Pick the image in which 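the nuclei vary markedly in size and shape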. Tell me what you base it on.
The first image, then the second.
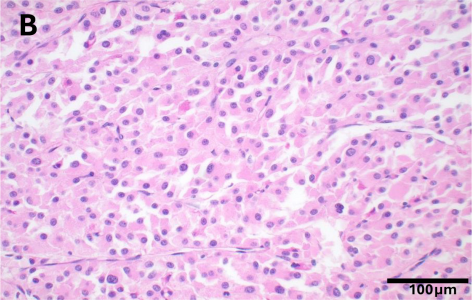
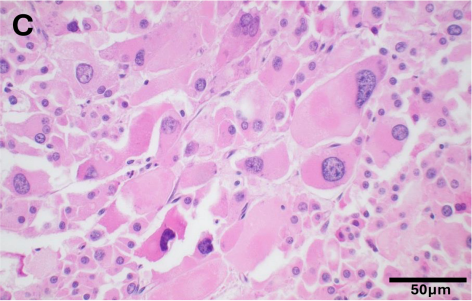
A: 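Second image: nuclei range from small to very large, some dark and irregular. First image: nuclei are small, round and fairly uniform. That points to this answer: the second image.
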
